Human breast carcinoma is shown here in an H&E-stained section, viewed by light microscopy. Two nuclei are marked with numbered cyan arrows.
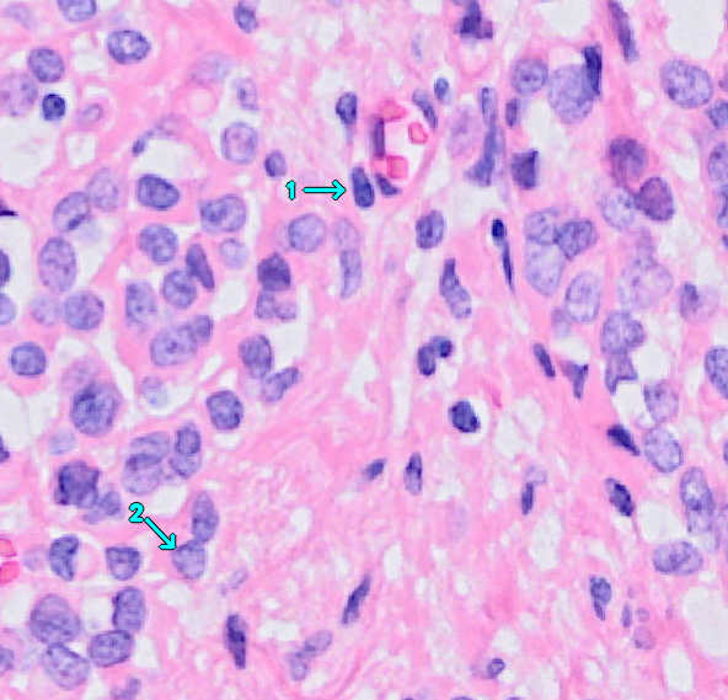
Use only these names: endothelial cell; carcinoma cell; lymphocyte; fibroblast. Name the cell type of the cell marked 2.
carcinoma cell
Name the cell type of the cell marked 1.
lymphocyte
